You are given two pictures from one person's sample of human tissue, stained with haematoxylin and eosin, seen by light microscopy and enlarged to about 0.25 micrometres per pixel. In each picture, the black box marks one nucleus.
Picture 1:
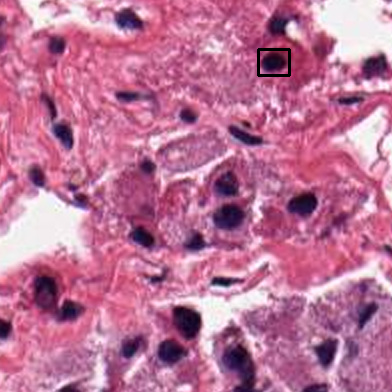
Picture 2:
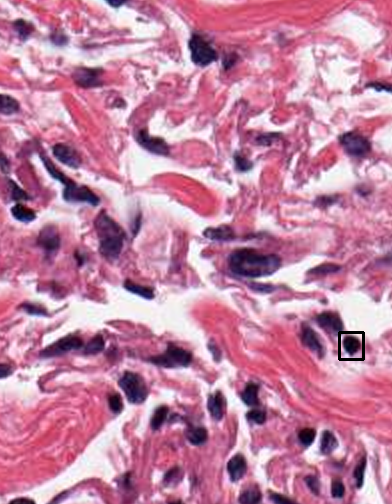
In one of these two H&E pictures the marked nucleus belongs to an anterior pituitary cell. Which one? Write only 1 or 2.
1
